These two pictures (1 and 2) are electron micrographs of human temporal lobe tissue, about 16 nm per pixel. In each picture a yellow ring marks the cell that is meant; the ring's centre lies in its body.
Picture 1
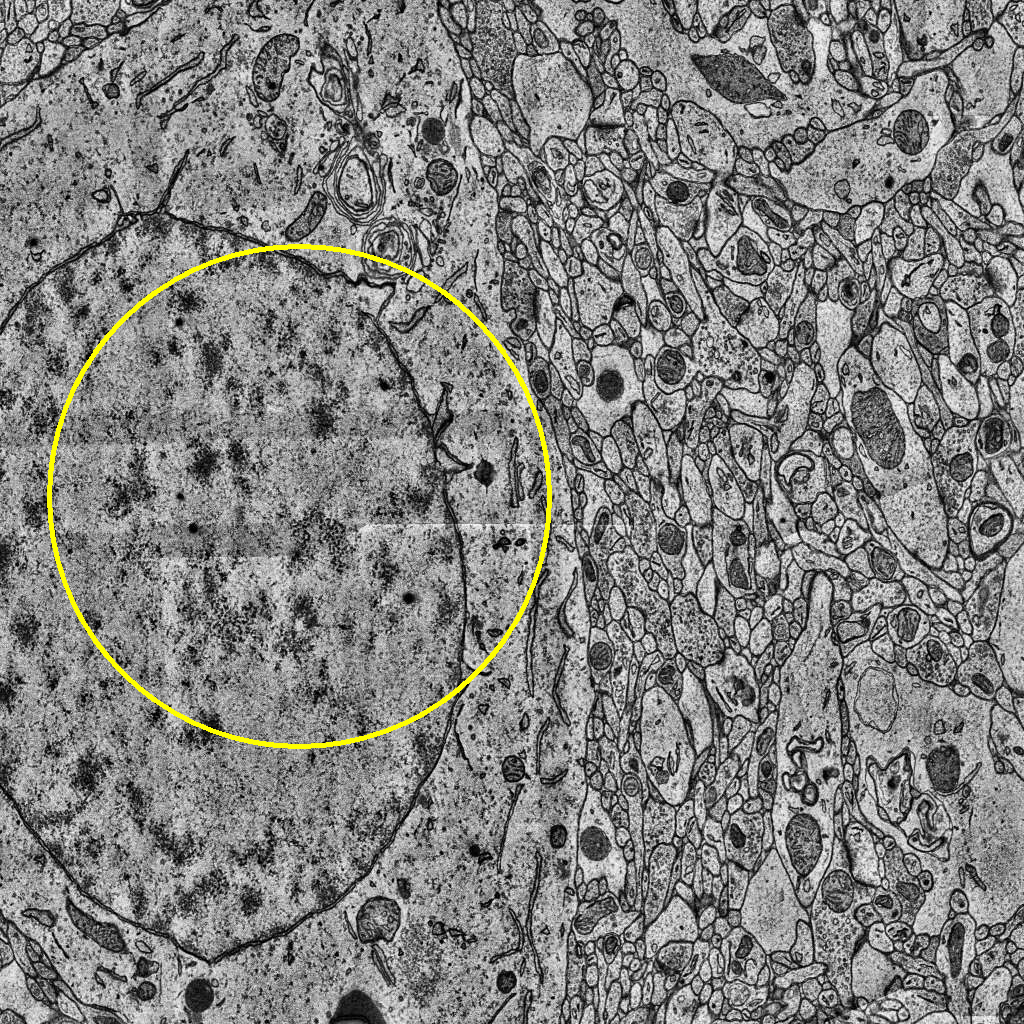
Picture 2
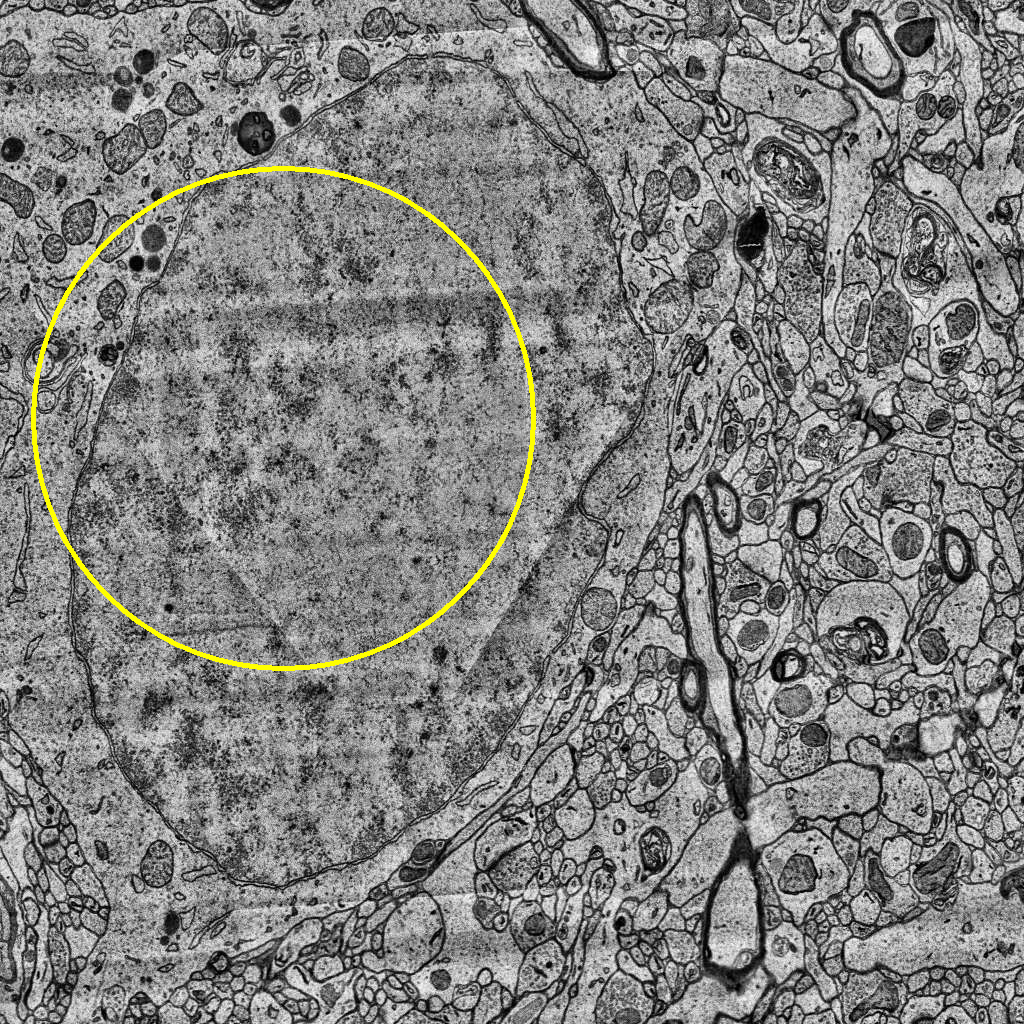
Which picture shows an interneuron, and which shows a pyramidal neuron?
In picture 1 the cell is a pyramidal neuron; in picture 2, an interneuron.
